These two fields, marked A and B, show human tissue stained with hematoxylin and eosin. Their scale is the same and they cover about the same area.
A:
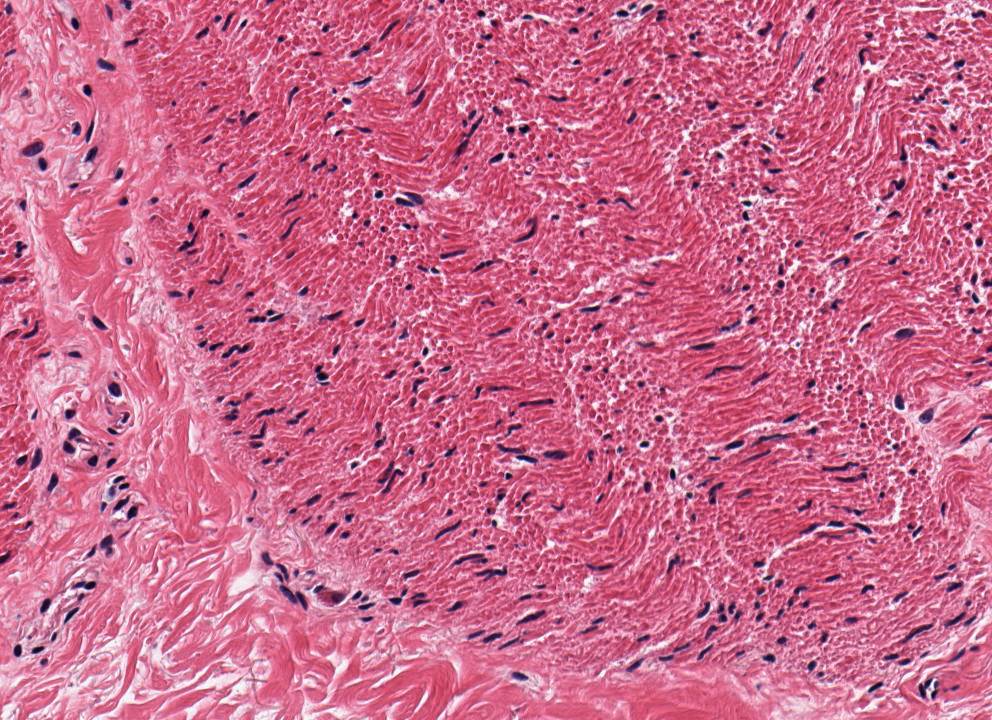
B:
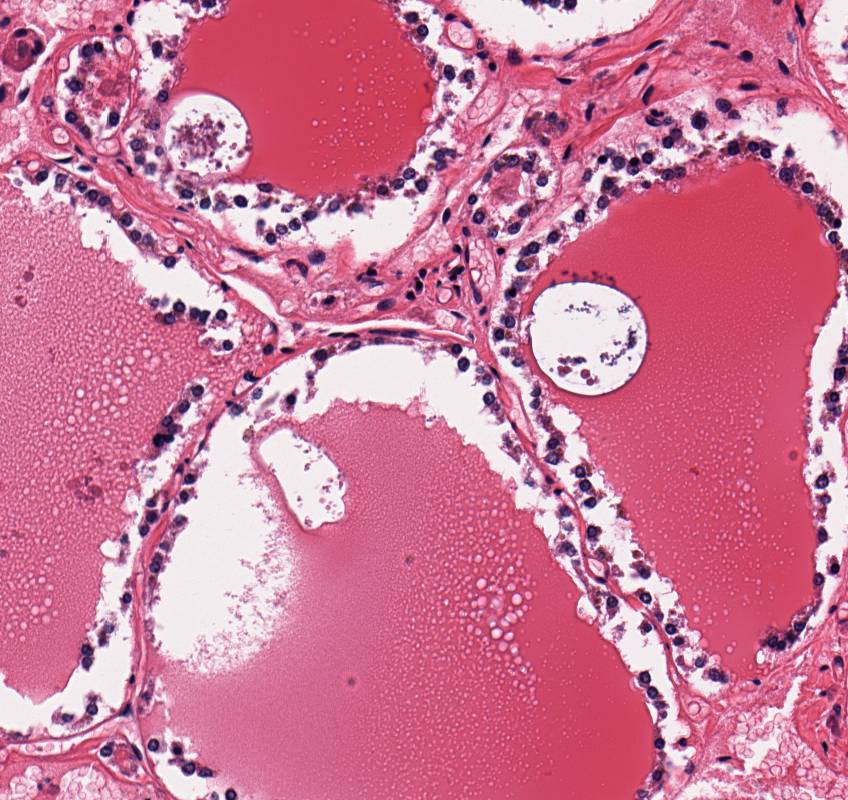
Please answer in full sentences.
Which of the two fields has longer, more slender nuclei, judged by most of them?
On the whole the nuclei of field A are more drawn out than those of field B.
